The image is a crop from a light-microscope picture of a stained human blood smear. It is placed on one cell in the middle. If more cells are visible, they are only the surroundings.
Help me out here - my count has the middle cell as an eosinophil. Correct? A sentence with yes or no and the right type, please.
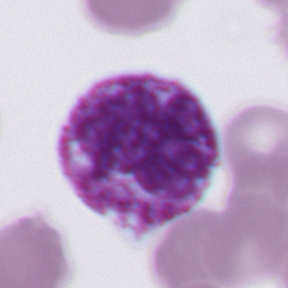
Yes, the cell sitting in the middle of this smear crop is an eosinophil.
